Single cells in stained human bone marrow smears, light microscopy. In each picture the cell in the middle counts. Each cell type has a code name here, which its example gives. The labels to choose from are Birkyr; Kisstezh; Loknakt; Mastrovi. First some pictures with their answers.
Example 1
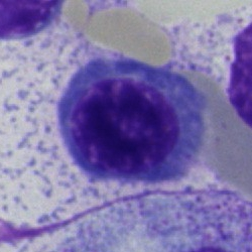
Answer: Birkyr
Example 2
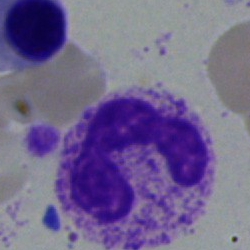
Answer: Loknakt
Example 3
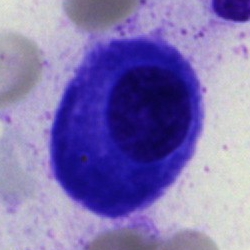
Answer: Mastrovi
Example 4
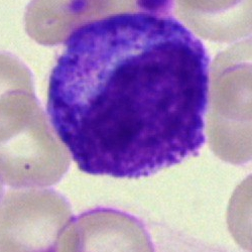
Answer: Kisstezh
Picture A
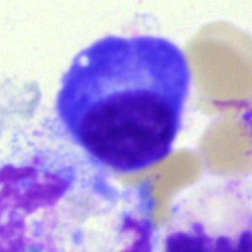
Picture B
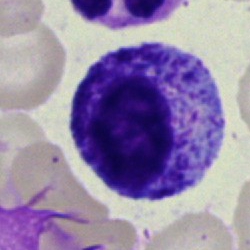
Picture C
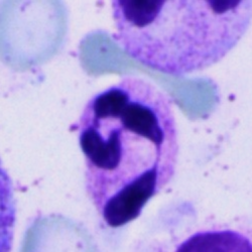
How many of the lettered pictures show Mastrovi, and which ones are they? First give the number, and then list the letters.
1, namely A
